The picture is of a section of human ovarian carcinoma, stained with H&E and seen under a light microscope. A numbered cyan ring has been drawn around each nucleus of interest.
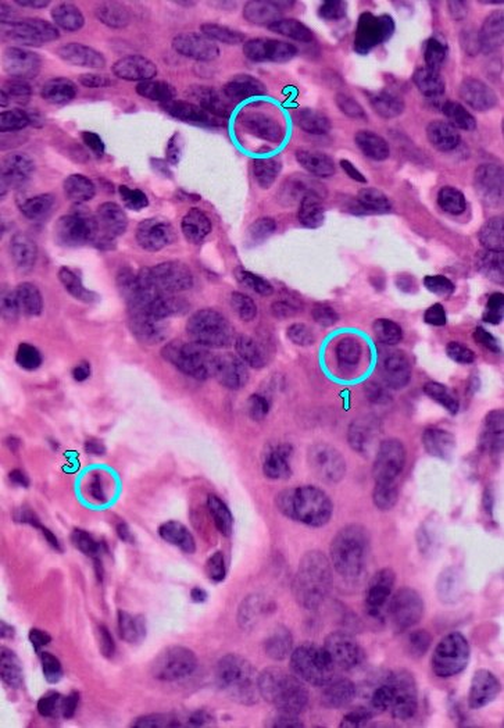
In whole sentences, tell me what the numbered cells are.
Cell 1 is a carcinoma cell, cell 2 is a carcinoma cell and cell 3 is a fibroblast.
